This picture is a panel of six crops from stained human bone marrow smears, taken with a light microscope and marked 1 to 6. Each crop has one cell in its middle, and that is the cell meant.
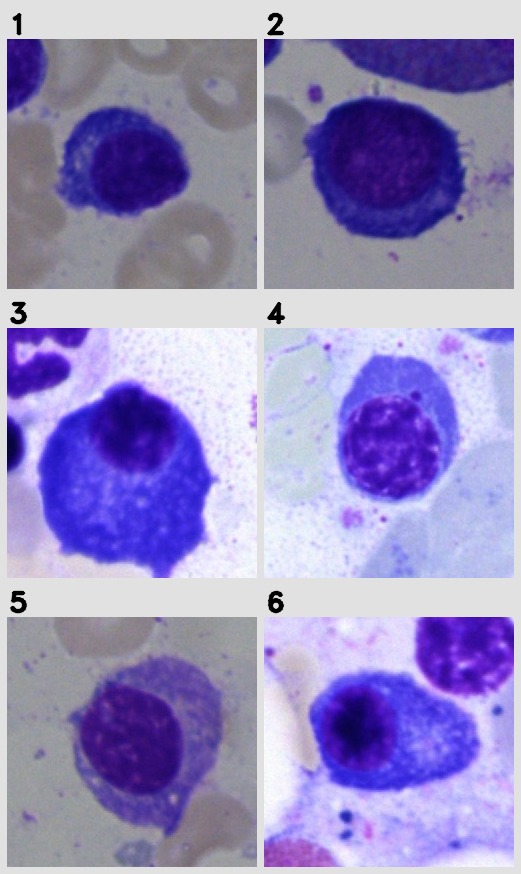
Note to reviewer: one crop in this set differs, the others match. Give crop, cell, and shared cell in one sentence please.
Crop 4 is an erythroblast, the one exception to the plasma cells of the other crops.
